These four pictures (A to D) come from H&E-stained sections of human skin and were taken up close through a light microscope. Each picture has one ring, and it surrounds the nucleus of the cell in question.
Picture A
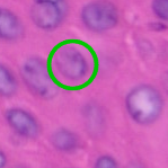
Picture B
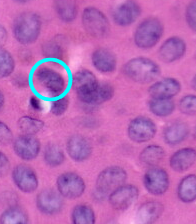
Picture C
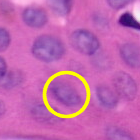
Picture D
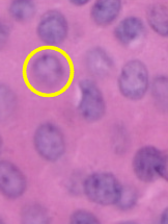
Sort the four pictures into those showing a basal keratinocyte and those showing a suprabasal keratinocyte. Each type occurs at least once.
A: suprabasal keratinocyte
B: basal keratinocyte
C: suprabasal keratinocyte
D: suprabasal keratinocyte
